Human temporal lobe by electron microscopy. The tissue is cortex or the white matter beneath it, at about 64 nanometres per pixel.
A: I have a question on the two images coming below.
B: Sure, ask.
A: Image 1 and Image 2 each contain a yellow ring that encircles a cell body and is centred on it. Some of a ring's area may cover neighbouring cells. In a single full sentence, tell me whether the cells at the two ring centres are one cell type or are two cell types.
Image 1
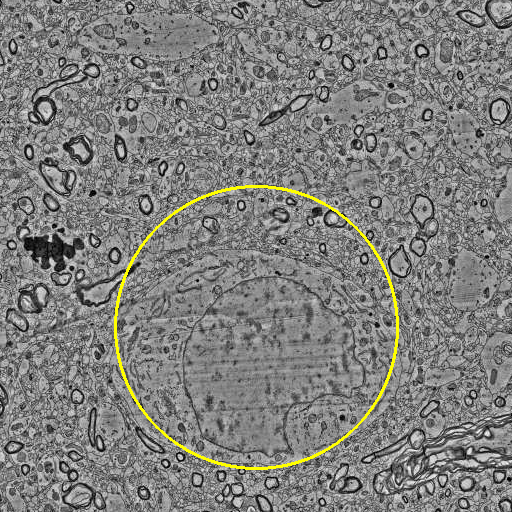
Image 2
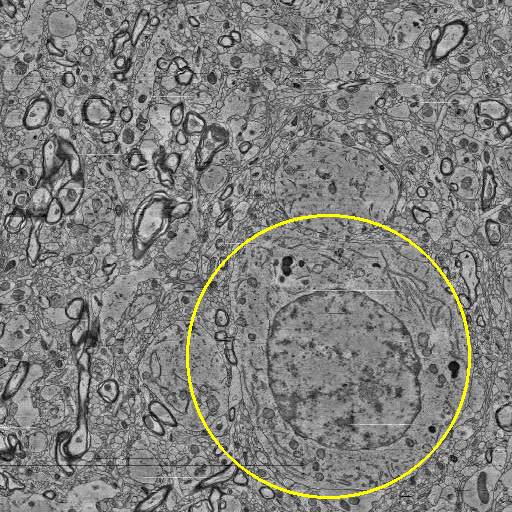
As for the ring-centre cells, the one in Image 1 and the one in Image 2 are one cell type.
